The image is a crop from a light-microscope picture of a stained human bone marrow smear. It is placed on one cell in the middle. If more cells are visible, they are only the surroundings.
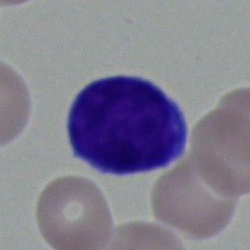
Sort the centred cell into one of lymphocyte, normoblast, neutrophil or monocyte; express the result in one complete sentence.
The cell the crop is centered on is a lymphocyte.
